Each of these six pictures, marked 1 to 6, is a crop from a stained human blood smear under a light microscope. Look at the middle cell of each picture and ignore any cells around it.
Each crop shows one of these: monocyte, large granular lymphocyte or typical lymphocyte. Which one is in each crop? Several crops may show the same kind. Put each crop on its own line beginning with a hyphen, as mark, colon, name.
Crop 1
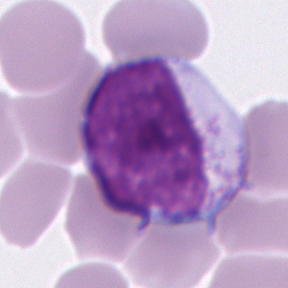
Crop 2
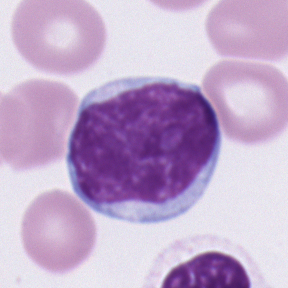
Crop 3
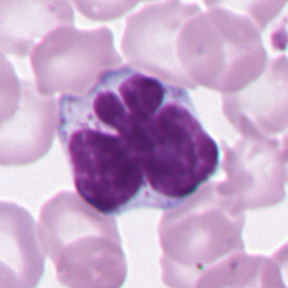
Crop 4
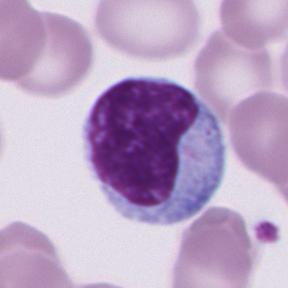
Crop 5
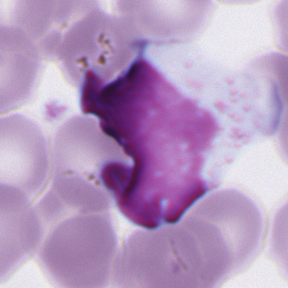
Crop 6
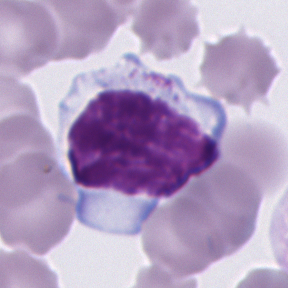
- 1: large granular lymphocyte
- 2: typical lymphocyte
- 3: large granular lymphocyte
- 4: typical lymphocyte
- 5: large granular lymphocyte
- 6: large granular lymphocyte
